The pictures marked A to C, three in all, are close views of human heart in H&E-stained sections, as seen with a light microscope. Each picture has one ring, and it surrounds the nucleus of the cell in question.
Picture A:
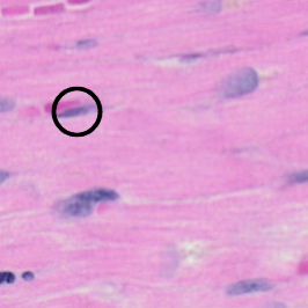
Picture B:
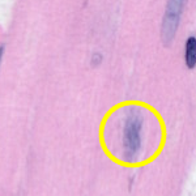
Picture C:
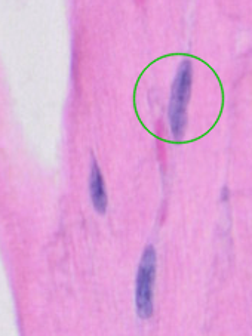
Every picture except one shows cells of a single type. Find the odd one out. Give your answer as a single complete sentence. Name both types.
Unlike the rest, which show endothelial cells, picture C shows a fibroblast.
